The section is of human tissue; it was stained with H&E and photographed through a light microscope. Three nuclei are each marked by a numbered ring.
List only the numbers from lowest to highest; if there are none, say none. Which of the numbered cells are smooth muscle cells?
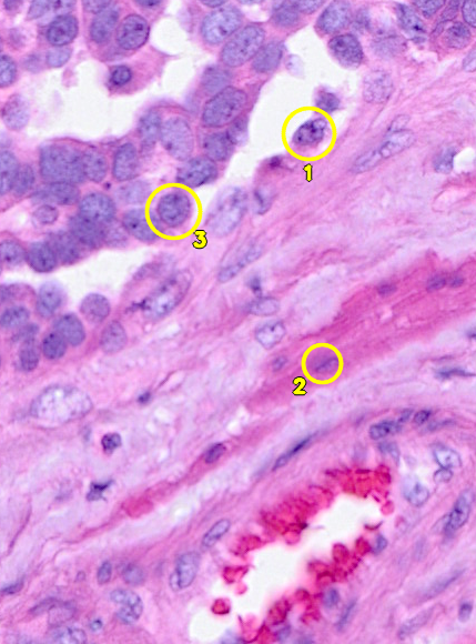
2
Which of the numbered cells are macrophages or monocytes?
1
